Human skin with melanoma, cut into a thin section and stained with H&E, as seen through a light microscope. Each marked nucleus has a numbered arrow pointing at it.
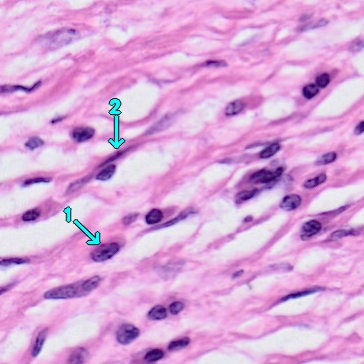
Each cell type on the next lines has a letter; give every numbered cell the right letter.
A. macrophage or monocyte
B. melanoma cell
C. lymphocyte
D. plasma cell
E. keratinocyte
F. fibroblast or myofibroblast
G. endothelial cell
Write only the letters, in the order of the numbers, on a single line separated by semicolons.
D; F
